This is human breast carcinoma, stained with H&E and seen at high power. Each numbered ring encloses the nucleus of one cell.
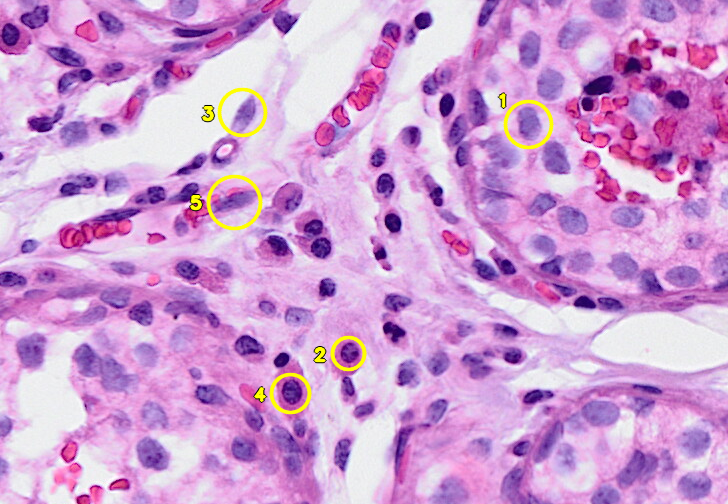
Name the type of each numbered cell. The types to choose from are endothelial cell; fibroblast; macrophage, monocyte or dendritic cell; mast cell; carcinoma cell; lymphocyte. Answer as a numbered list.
1. carcinoma cell
2. mast cell
3. fibroblast
4. mast cell
5. endothelial cell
